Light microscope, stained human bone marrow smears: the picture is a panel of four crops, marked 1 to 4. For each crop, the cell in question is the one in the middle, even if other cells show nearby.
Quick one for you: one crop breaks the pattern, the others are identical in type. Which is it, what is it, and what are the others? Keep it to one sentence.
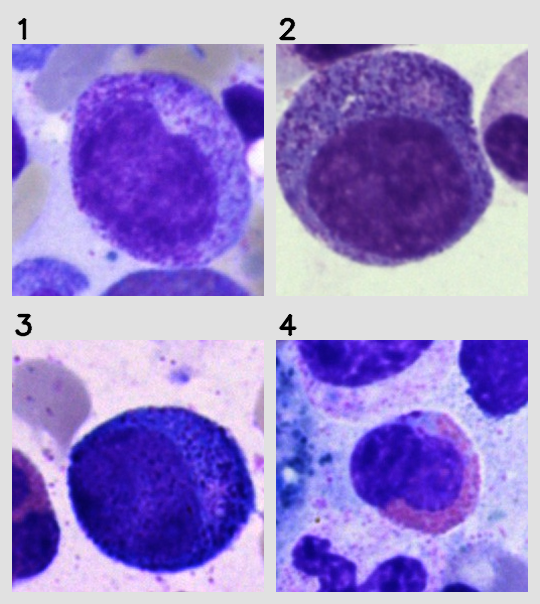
The different crop is crop 4, an eosinophil; all the others show promyelocytes.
